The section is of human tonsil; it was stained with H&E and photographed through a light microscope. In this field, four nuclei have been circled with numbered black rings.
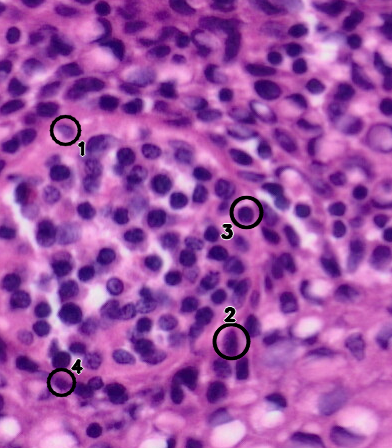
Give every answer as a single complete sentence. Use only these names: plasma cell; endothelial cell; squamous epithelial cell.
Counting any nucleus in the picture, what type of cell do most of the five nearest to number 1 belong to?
Squamous epithelial cells account for more than half of the five nuclei nearest to number 1.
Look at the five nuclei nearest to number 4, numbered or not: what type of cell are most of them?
The majority of the five nuclei closest to number 4 belong to squamous epithelial cells.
